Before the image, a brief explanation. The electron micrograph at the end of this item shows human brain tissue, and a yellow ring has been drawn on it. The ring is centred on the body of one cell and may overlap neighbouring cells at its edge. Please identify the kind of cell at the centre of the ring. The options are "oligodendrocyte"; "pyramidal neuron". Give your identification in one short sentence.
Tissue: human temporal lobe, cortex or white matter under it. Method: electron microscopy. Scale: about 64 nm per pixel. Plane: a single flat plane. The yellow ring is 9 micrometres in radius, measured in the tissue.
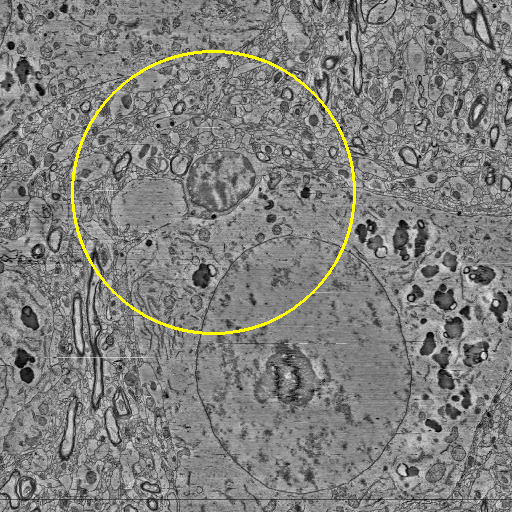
The ring has been placed around an oligodendrocyte.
